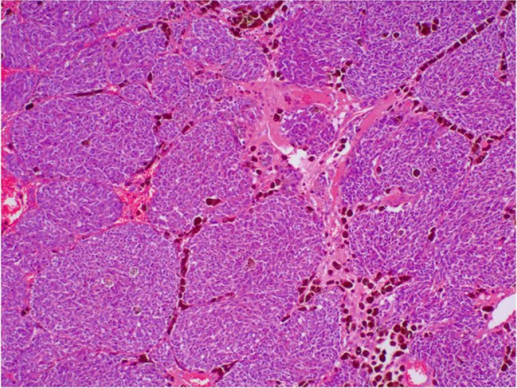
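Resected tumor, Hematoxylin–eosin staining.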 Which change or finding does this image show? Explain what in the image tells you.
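Tumor cells are packed in rounded nests. Thin pink fibrous septa separate the nests. That points to this answer: nesting proliferation.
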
